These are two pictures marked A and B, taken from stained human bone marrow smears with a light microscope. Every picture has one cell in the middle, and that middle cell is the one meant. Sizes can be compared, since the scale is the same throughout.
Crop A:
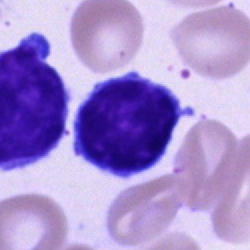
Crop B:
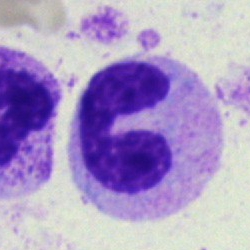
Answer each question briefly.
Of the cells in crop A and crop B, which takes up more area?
B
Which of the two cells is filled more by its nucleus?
A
